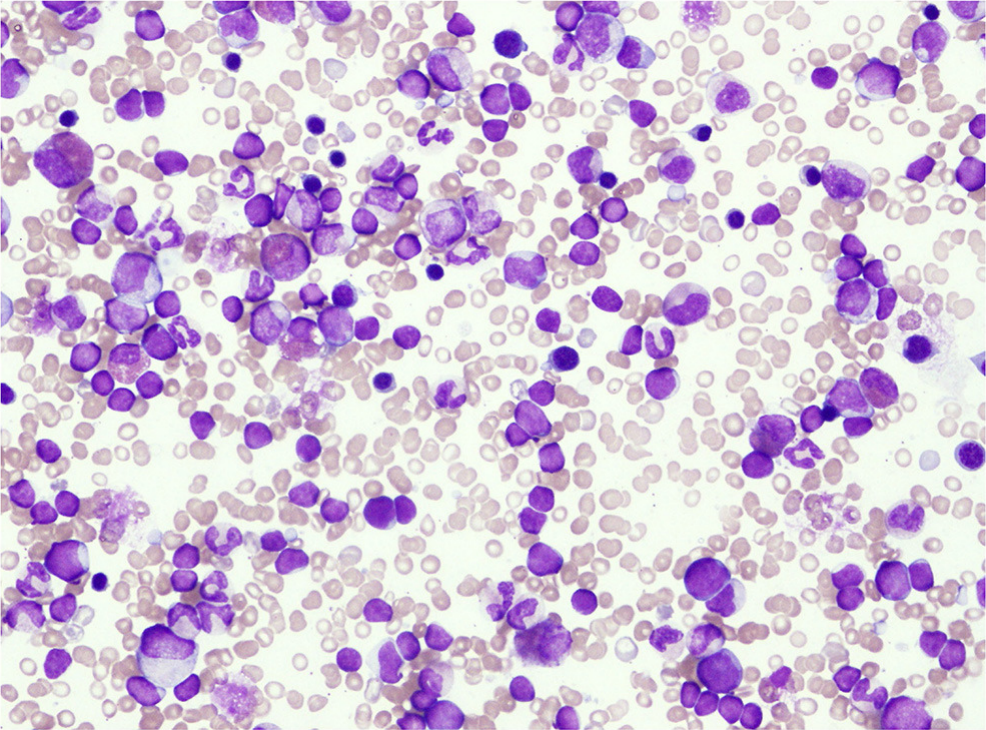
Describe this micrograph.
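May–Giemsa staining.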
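This is a smear of bone marrow, crowded with nucleated blood-forming cells lying among many pale pink red cells. Many of the nucleated cells are round, with dense round purple nuclei and a thin rim of cytoplasm, and some very small cells have nearly black, compact nuclei. Scattered among them are larger cells with paler, finer nuclear chromatin and a rim of pale bluish cytoplasm. A few cells have nuclei bent into bands or split into segments, as maturing granulocytes do, but they are not many. The cells lie in small clusters and loose chains across the field rather than as one uniform population.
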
